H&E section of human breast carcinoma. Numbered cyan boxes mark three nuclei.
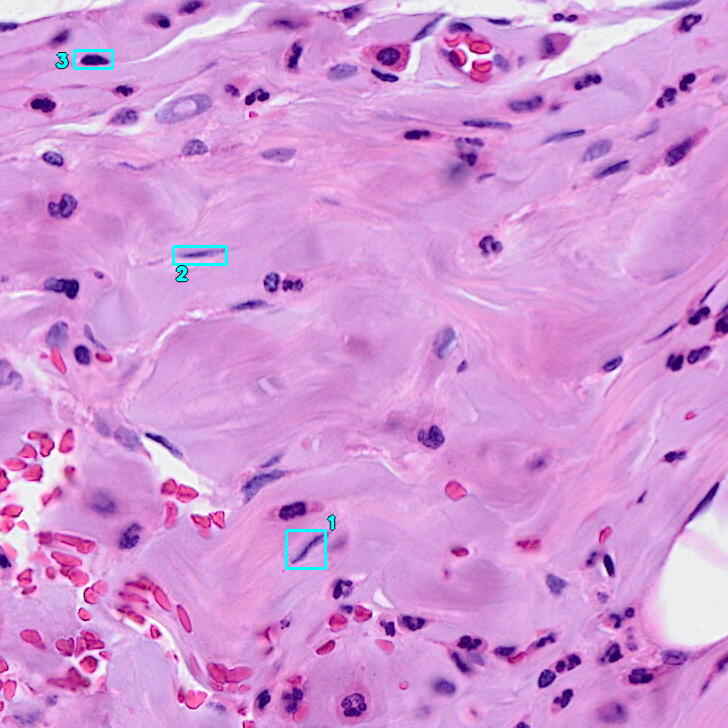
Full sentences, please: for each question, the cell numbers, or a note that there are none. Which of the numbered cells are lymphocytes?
Cell 3 is the only numbered cell that is a lymphocyte.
